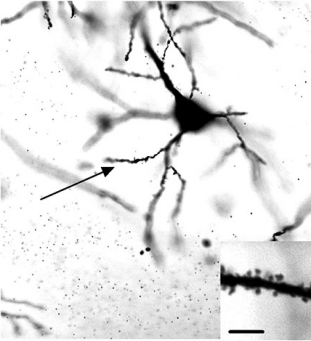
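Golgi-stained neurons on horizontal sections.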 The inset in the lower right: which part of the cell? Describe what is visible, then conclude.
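The inset shows a magnified dark dendrite studded with short knob-like protrusions.
Spines.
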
